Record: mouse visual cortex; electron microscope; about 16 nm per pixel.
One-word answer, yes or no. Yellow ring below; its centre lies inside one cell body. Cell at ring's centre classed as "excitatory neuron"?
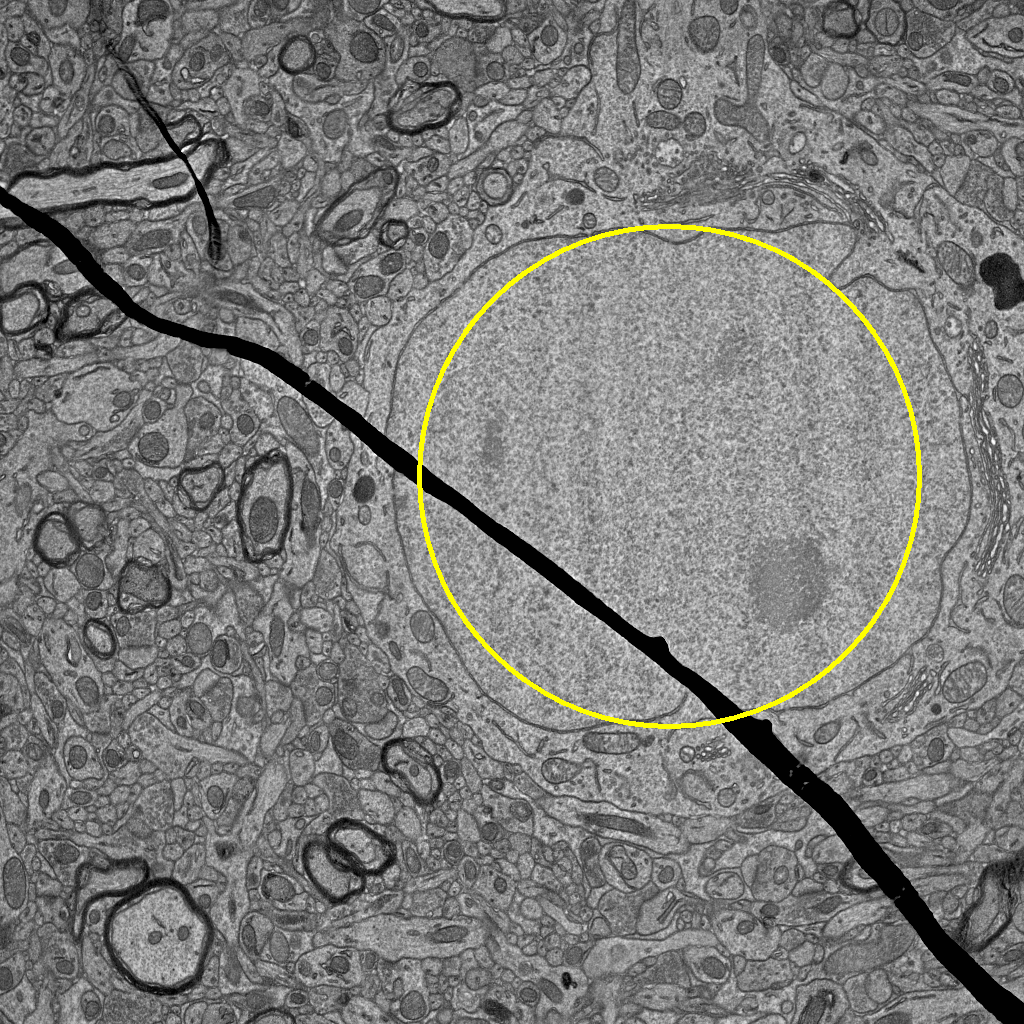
yes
